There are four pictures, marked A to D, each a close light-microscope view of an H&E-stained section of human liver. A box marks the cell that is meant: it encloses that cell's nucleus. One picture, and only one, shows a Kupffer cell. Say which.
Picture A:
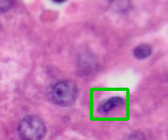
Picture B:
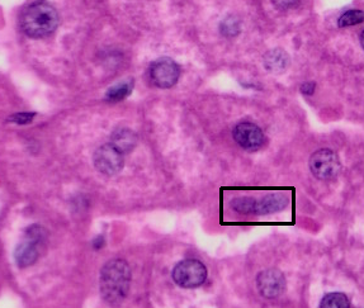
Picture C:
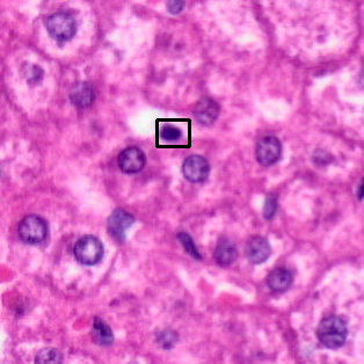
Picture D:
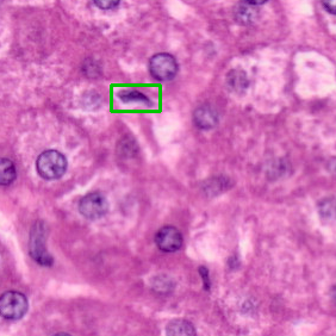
B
